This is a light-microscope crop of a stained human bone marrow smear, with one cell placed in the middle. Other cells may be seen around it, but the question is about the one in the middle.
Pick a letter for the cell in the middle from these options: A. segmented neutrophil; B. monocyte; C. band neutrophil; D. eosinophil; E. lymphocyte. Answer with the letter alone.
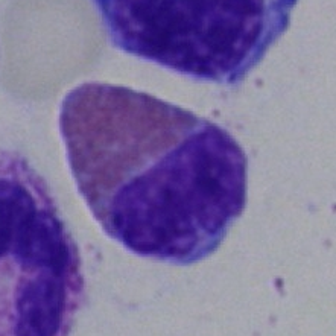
D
